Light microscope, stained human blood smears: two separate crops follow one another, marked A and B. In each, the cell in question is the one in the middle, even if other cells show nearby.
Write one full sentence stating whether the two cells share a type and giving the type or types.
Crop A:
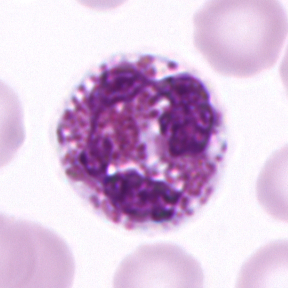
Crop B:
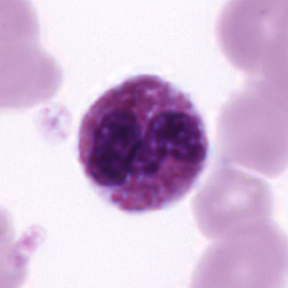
Yes, the cells at the centres of the two crops are eosinophils.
